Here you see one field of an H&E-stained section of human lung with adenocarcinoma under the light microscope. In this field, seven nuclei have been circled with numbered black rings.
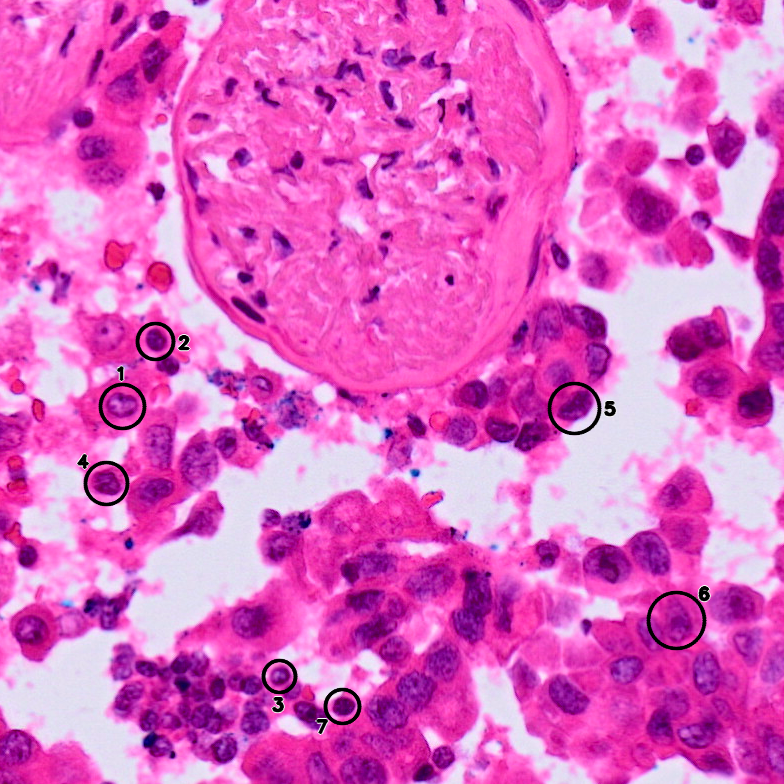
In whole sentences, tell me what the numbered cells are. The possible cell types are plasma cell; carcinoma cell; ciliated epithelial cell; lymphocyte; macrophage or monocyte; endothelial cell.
Cells 1 and 4 are macrophages or monocytes. Cells 2, 3 and 7 are lymphocytes. Cells 5 and 6 are carcinoma cells.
